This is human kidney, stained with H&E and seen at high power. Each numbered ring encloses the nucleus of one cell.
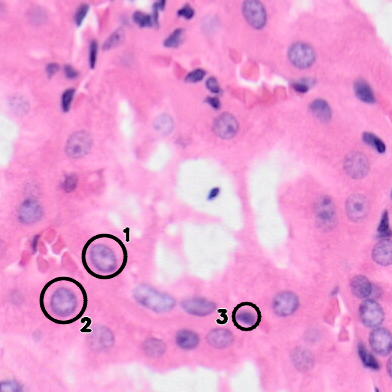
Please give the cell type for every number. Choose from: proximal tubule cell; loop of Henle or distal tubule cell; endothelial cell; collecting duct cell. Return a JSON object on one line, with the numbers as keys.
{"1": "proximal tubule cell", "2": "proximal tubule cell", "3": "endothelial cell"}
